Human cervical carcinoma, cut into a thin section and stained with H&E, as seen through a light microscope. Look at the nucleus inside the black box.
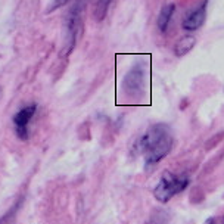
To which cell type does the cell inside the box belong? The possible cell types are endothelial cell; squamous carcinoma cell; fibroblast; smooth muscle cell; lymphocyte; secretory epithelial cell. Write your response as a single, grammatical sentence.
In this section, the cell inside the box is a fibroblast.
